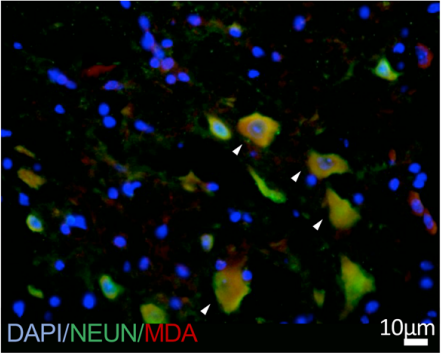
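The neurons have broad, angular or polygonal cell bodies filled with green cytoplasm, and in several the cytoplasm turns yellow to orange where red overlaps the green. Some neurons show short tapering extensions leaving the cell body. The dark background between cells is the neuropil.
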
